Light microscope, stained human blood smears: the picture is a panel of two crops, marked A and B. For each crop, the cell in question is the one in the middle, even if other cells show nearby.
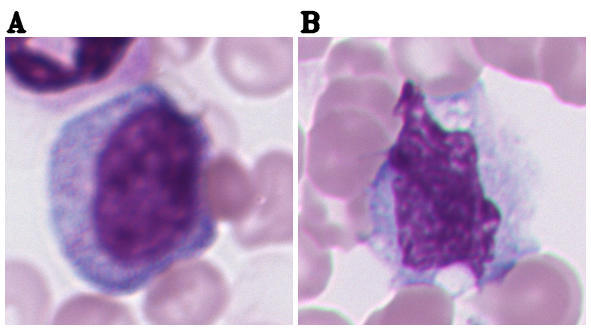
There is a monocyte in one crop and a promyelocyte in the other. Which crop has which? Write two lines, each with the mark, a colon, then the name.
A: promyelocyte
B: monocyte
